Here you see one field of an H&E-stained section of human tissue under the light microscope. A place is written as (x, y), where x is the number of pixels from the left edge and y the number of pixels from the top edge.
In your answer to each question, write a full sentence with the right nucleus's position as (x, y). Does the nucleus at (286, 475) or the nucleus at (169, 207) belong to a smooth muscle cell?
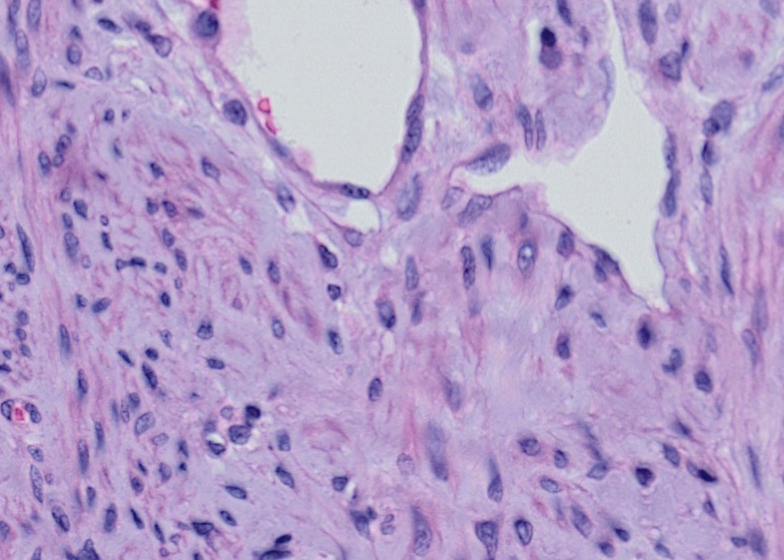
The correct choice is the nucleus at (169, 207), which belongs to a smooth muscle cell.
